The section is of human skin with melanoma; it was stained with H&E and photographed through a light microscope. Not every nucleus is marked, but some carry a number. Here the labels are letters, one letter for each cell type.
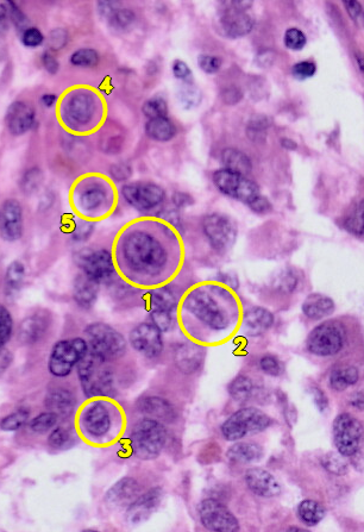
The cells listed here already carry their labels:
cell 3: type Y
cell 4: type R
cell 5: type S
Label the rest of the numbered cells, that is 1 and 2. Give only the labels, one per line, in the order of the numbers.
type Y
type Y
